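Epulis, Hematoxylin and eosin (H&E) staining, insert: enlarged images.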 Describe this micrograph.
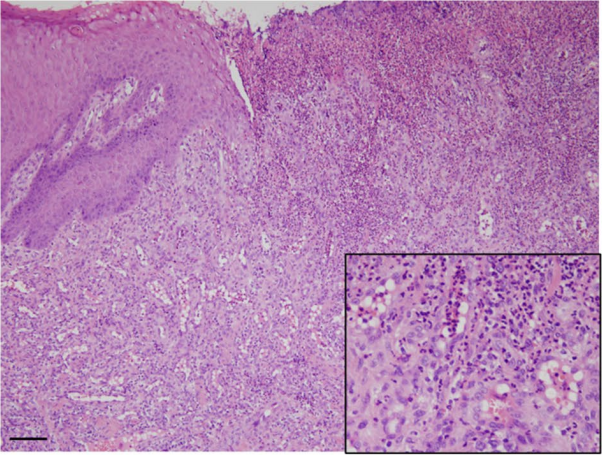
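The lesion is covered on one side by stratified squamous epithelium that breaks off, leaving an ulcerated surface. The stroma below is crowded with inflammatory cells, small round cells with dark nuclei, and with many small vessels lined by endothelial cells.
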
